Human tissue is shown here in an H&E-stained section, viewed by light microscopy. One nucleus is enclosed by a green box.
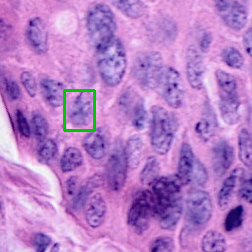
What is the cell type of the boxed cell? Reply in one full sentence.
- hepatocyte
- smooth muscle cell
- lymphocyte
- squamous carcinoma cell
In this section of tissue, the boxed cell is a squamous carcinoma cell.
